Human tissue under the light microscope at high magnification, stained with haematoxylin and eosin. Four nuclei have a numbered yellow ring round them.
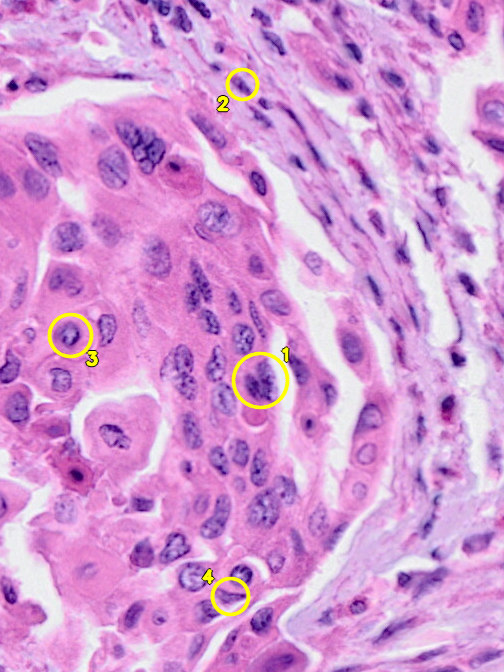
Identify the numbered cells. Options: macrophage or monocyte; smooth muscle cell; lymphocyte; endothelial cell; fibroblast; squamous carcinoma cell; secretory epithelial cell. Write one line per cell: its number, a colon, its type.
1: squamous carcinoma cell
2: fibroblast
3: squamous carcinoma cell
4: squamous carcinoma cell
